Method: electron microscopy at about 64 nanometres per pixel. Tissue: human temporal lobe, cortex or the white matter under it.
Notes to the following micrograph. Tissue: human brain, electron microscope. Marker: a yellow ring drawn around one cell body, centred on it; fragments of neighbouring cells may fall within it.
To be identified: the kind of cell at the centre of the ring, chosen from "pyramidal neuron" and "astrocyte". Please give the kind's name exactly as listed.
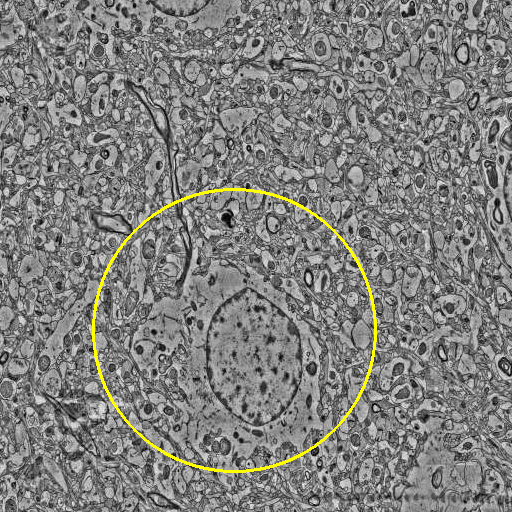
astrocyte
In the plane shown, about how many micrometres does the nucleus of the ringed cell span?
The nucleus comes to roughly 9 by 6 micrometres in this plane.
